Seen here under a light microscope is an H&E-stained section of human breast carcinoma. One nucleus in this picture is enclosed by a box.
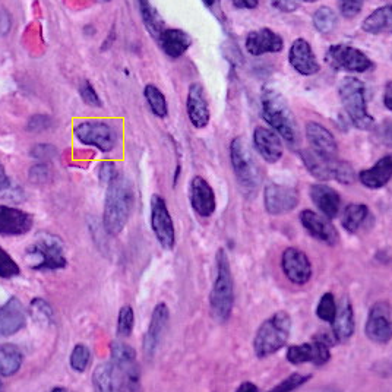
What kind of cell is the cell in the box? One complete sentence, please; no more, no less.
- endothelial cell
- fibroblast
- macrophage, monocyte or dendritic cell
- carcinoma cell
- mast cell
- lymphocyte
To be brief about it, the cell in the box is an endothelial cell.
